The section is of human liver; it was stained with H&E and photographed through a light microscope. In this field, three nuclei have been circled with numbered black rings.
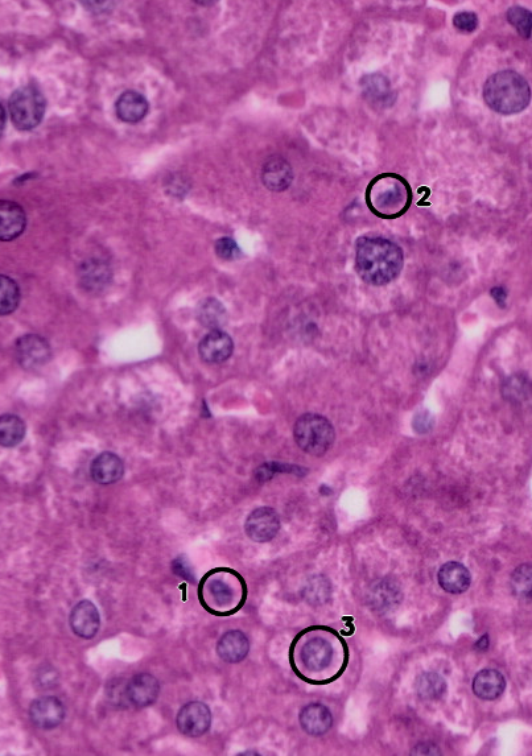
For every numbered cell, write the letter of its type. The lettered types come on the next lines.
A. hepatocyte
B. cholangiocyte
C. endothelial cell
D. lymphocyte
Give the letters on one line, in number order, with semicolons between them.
D; C; A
